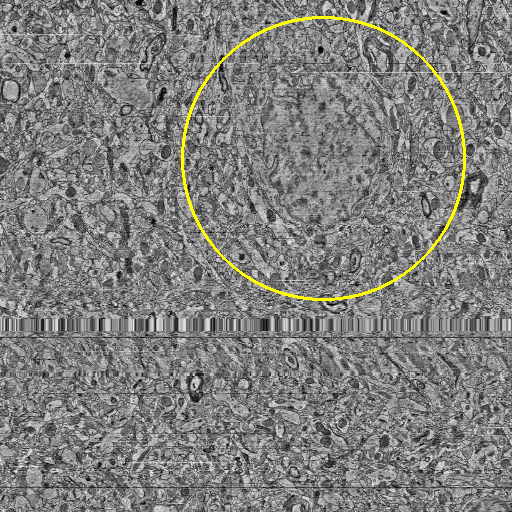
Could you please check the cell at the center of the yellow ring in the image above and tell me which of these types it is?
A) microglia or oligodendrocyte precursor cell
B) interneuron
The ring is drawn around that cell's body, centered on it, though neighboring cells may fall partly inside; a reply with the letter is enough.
B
